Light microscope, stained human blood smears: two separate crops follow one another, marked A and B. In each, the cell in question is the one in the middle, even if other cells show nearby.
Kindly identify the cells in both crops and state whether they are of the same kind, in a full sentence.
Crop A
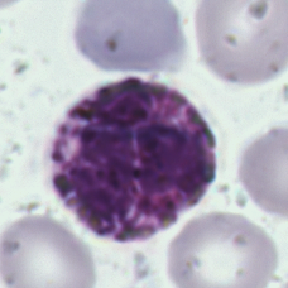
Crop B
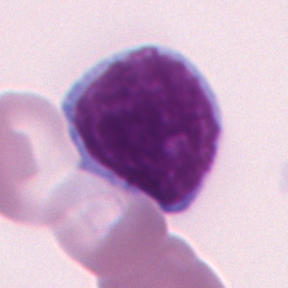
No, a basophil is in crop A, while a typical lymphocyte is in crop B.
